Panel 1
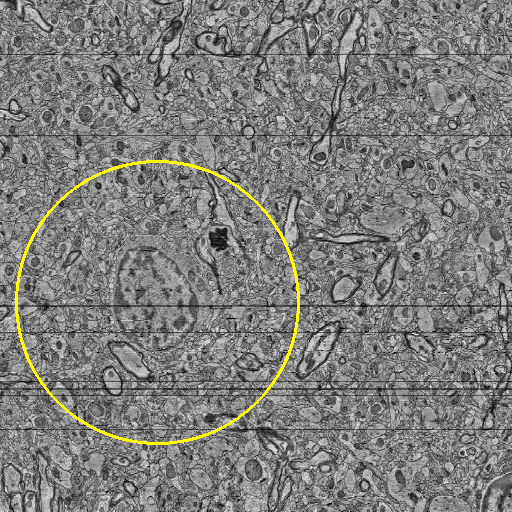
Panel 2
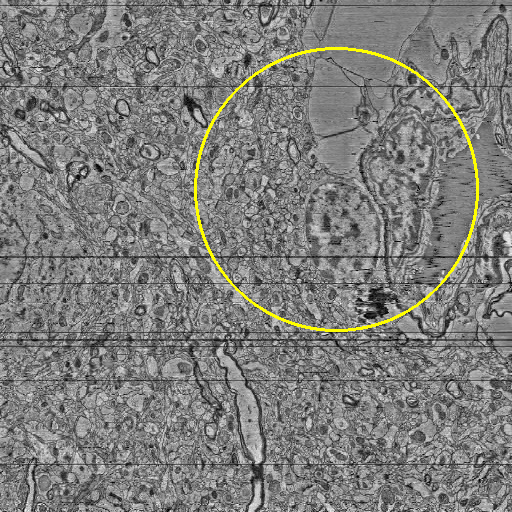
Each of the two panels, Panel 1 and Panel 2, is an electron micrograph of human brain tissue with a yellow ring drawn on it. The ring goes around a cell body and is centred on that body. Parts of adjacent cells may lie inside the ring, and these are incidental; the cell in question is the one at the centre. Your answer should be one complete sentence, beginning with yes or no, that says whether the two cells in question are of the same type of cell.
Yes, the two cells are of the same type.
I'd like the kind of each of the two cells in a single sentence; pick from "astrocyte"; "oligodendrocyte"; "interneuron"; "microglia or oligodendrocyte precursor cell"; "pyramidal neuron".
The second cell is an oligodendrocyte, just as the first is.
